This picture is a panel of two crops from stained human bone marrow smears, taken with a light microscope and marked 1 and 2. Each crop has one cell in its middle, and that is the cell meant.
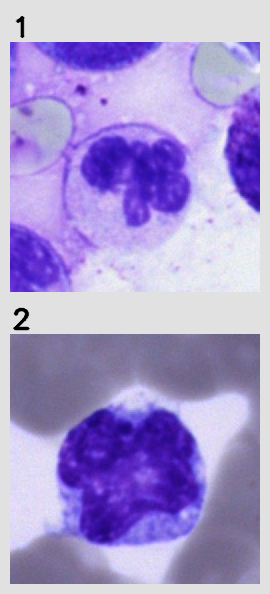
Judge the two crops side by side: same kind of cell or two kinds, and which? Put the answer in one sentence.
No, a segmented neutrophil is centred in crop 1, and a monocyte is centred in crop 2.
